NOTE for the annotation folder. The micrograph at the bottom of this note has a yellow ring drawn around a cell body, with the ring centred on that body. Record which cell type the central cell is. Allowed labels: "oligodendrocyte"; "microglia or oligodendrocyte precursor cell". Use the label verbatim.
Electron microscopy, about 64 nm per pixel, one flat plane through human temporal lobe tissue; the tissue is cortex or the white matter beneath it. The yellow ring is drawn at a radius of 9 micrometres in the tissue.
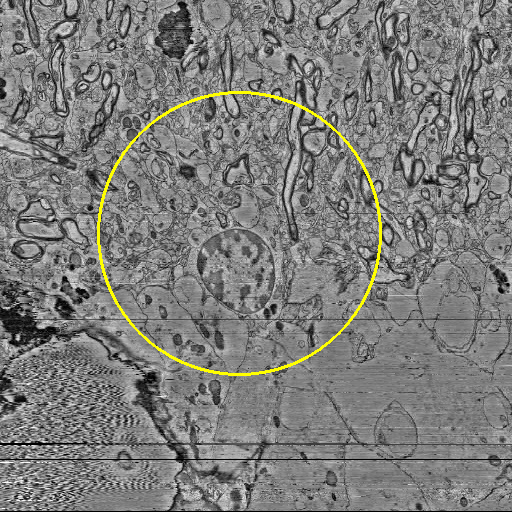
microglia or oligodendrocyte precursor cell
